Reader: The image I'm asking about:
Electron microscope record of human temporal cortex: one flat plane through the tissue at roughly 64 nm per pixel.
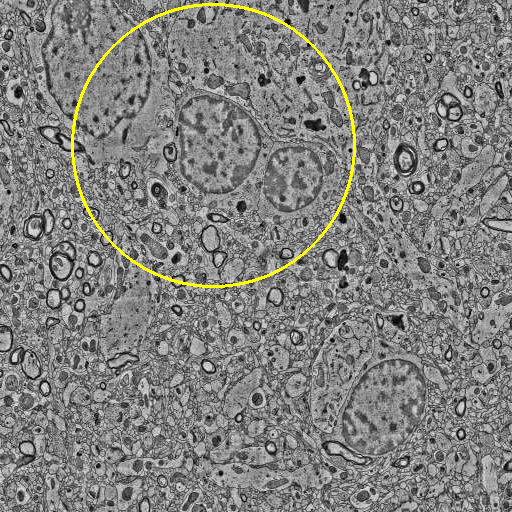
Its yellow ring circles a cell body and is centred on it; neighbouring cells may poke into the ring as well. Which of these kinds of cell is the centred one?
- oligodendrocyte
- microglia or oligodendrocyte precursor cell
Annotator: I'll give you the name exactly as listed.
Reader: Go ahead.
oligodendrocyte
